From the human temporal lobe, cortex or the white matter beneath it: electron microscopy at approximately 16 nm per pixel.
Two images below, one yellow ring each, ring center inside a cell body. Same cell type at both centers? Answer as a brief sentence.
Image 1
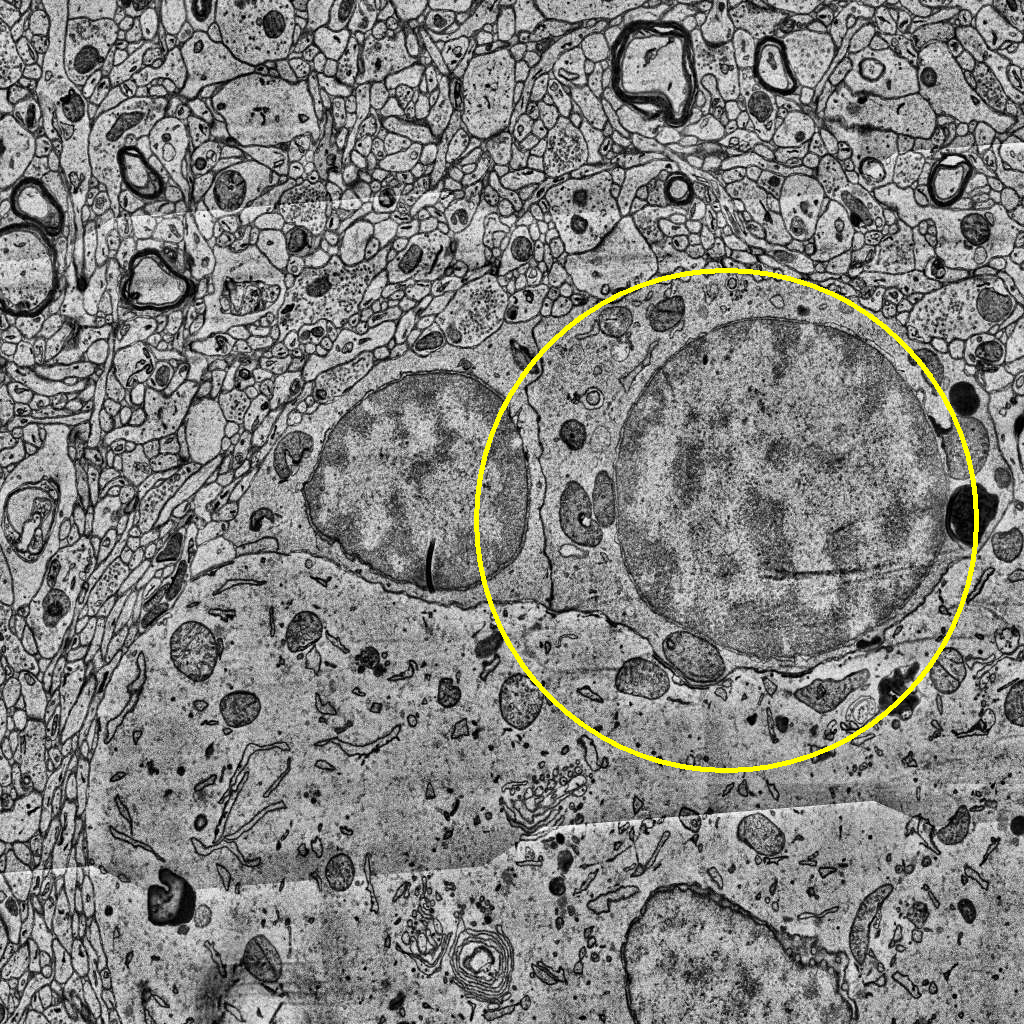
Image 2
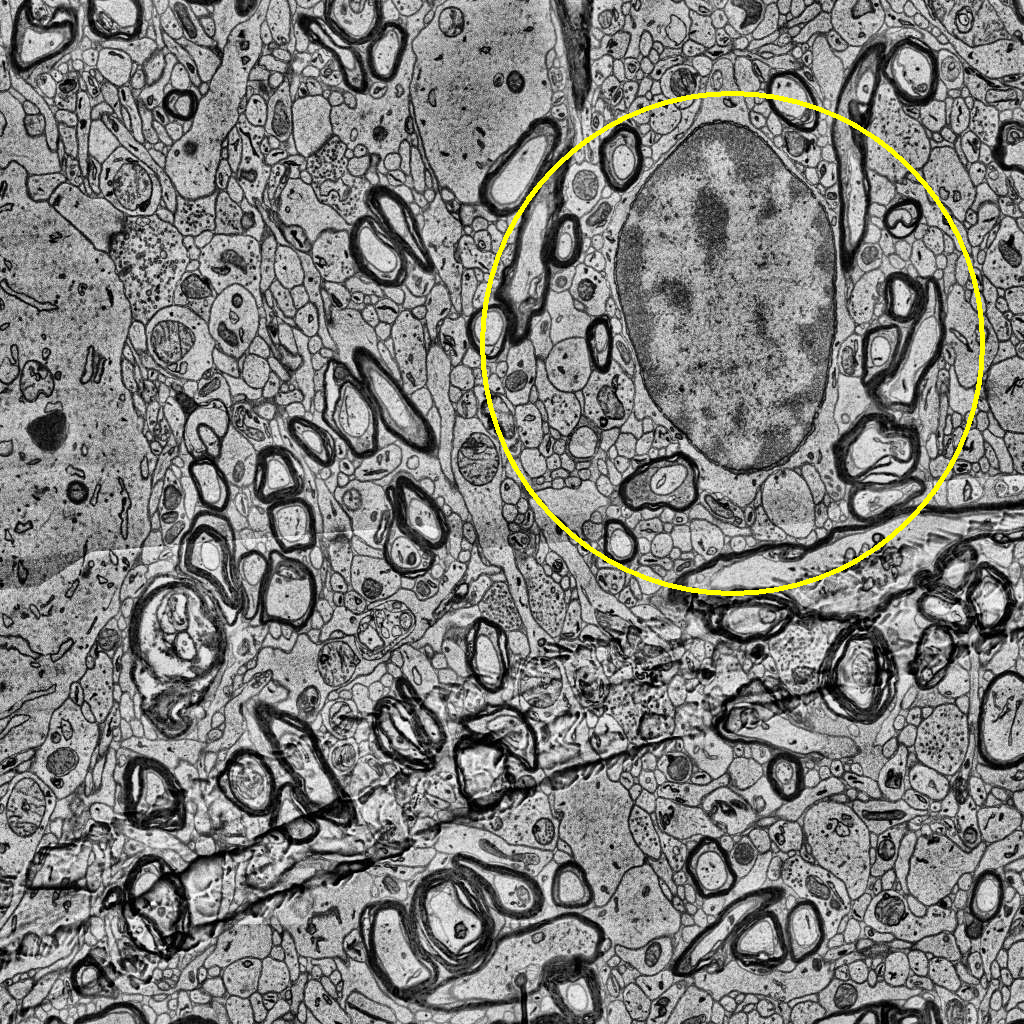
No, the cells are of two separate types.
